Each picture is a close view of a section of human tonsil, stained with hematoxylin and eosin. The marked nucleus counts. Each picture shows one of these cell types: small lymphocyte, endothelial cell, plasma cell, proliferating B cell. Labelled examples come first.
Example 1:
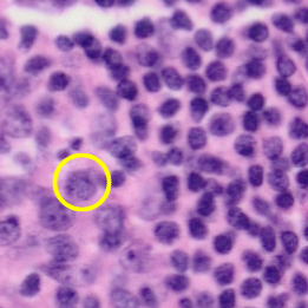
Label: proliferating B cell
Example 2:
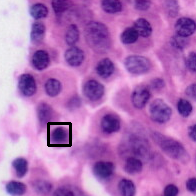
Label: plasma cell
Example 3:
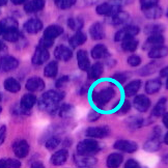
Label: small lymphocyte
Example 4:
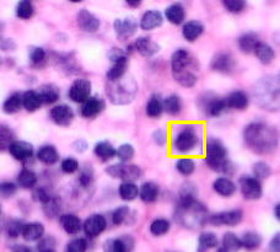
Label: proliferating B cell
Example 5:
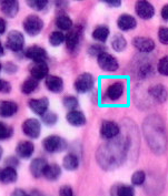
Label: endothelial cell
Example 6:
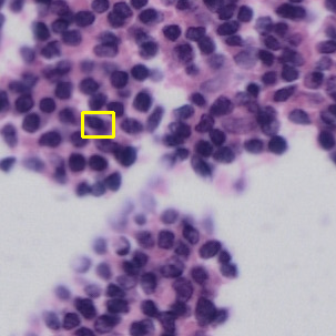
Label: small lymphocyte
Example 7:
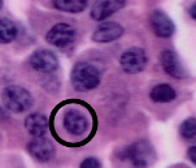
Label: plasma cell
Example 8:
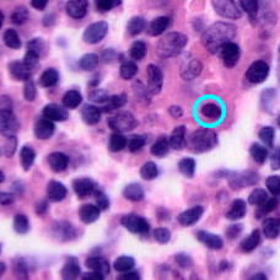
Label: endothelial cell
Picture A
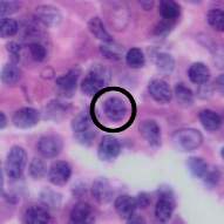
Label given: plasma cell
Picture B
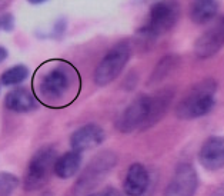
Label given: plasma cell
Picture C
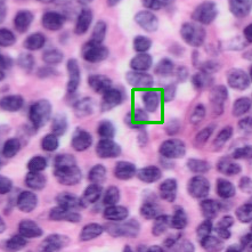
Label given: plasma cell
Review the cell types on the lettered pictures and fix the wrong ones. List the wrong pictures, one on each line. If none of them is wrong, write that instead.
C: not plasma cell but small lymphocyte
